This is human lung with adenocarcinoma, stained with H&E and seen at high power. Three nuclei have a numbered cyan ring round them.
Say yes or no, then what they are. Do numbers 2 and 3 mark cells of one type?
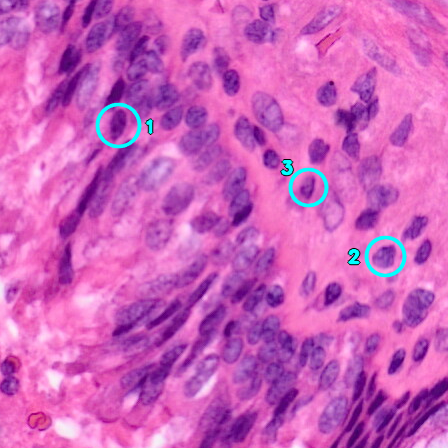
No, cell 2 is a lymphocyte and cell 3 is a plasma cell.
